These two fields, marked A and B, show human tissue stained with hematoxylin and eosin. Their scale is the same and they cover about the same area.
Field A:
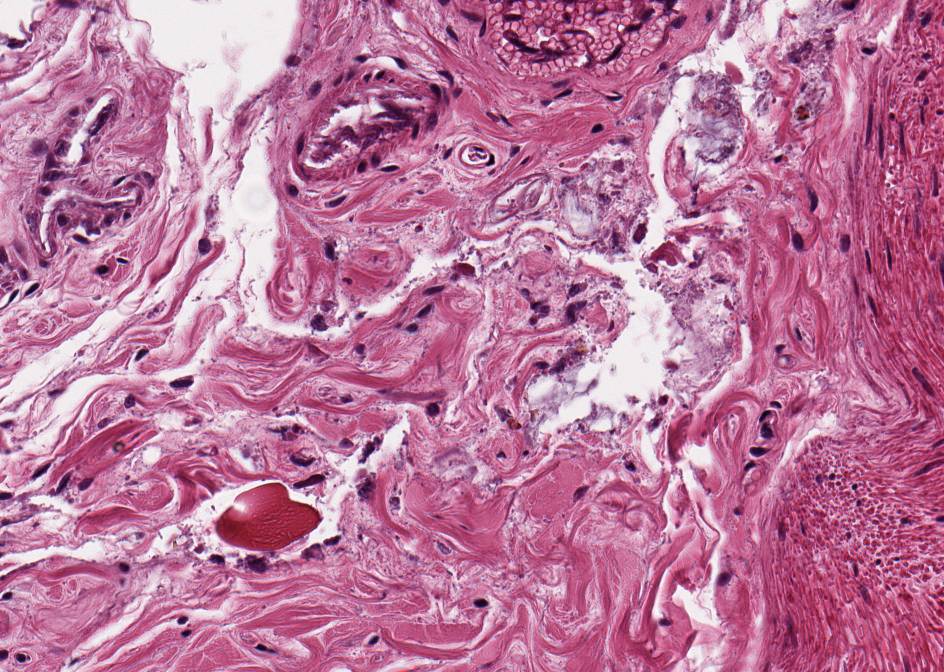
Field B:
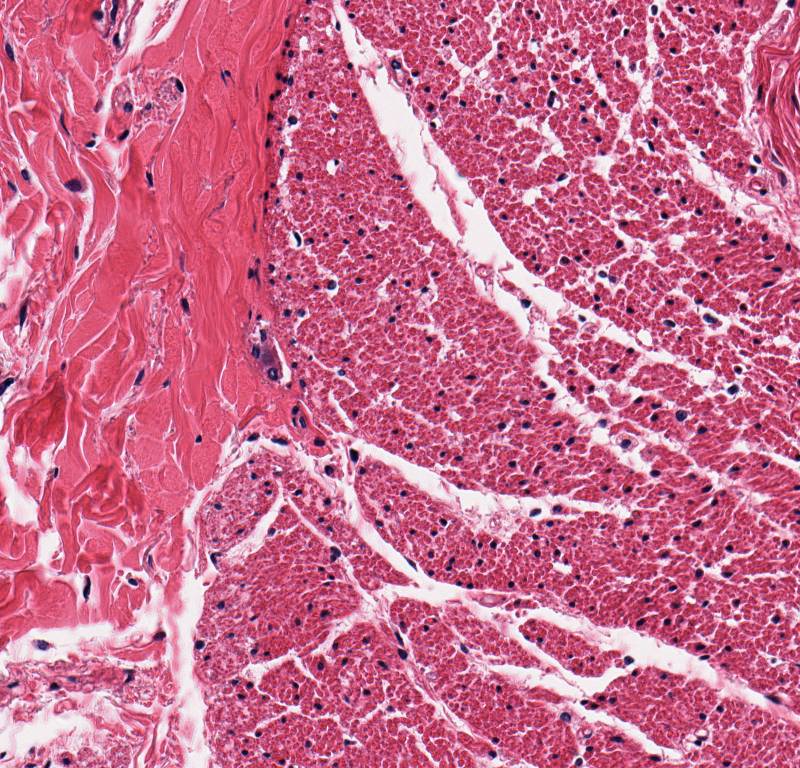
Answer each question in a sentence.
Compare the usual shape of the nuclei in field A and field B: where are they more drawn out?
It is field A whose nuclei are the more elongated.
